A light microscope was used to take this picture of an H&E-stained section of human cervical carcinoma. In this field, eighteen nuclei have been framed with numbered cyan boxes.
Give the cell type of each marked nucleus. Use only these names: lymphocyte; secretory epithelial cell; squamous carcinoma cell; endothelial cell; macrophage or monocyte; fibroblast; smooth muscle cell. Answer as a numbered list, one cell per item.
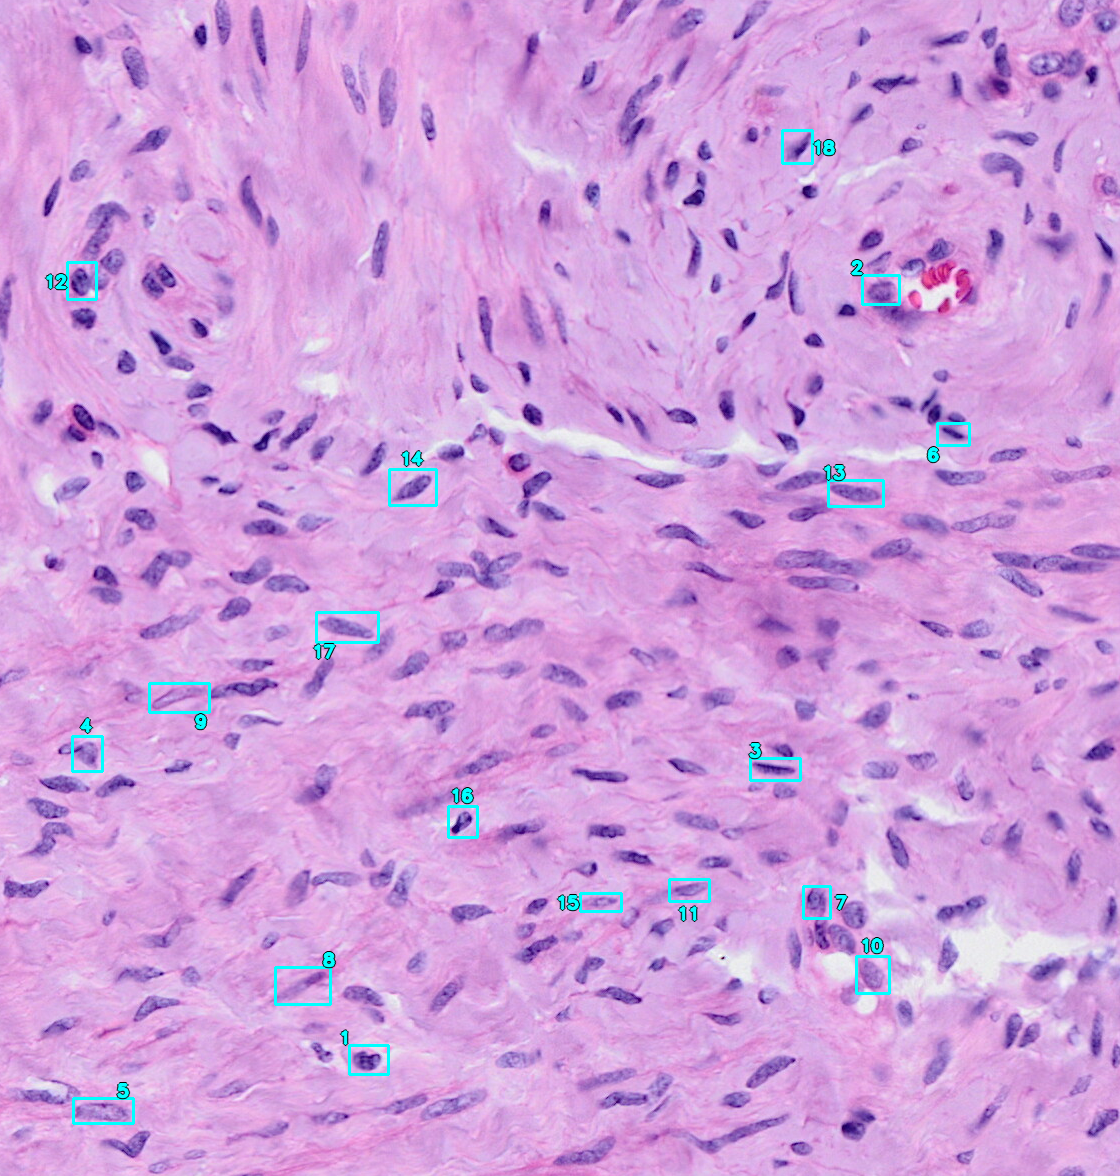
1. lymphocyte
2. endothelial cell
3. fibroblast
4. fibroblast
5. smooth muscle cell
6. fibroblast
7. endothelial cell
8. smooth muscle cell
9. smooth muscle cell
10. endothelial cell
11. smooth muscle cell
12. endothelial cell
13. fibroblast
14. fibroblast
15. smooth muscle cell
16. lymphocyte
17. fibroblast
18. fibroblast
